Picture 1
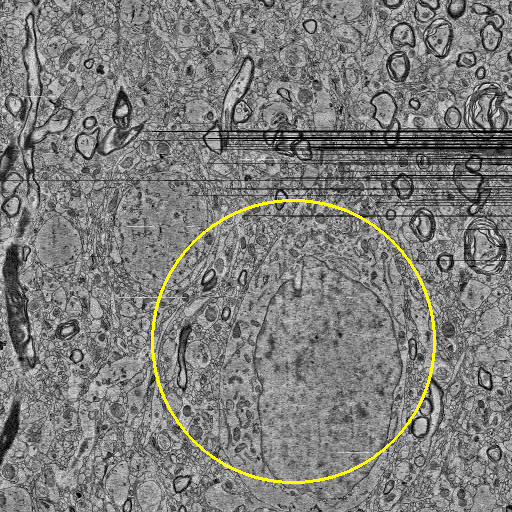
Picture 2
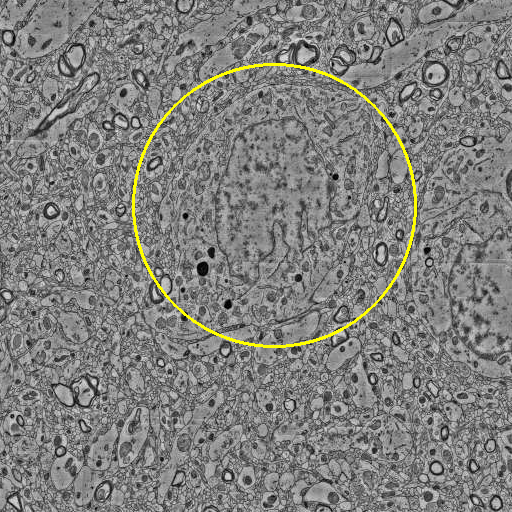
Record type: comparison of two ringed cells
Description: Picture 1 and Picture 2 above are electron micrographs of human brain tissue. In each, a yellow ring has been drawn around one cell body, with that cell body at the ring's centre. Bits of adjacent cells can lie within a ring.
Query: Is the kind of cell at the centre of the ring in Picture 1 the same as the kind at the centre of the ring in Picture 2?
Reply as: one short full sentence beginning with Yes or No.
Yes, the two ringed cells are of the same kind.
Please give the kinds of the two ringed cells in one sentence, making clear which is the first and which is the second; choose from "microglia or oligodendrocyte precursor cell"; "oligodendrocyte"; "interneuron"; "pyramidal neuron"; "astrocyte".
Each of the two rings surrounds an interneuron.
